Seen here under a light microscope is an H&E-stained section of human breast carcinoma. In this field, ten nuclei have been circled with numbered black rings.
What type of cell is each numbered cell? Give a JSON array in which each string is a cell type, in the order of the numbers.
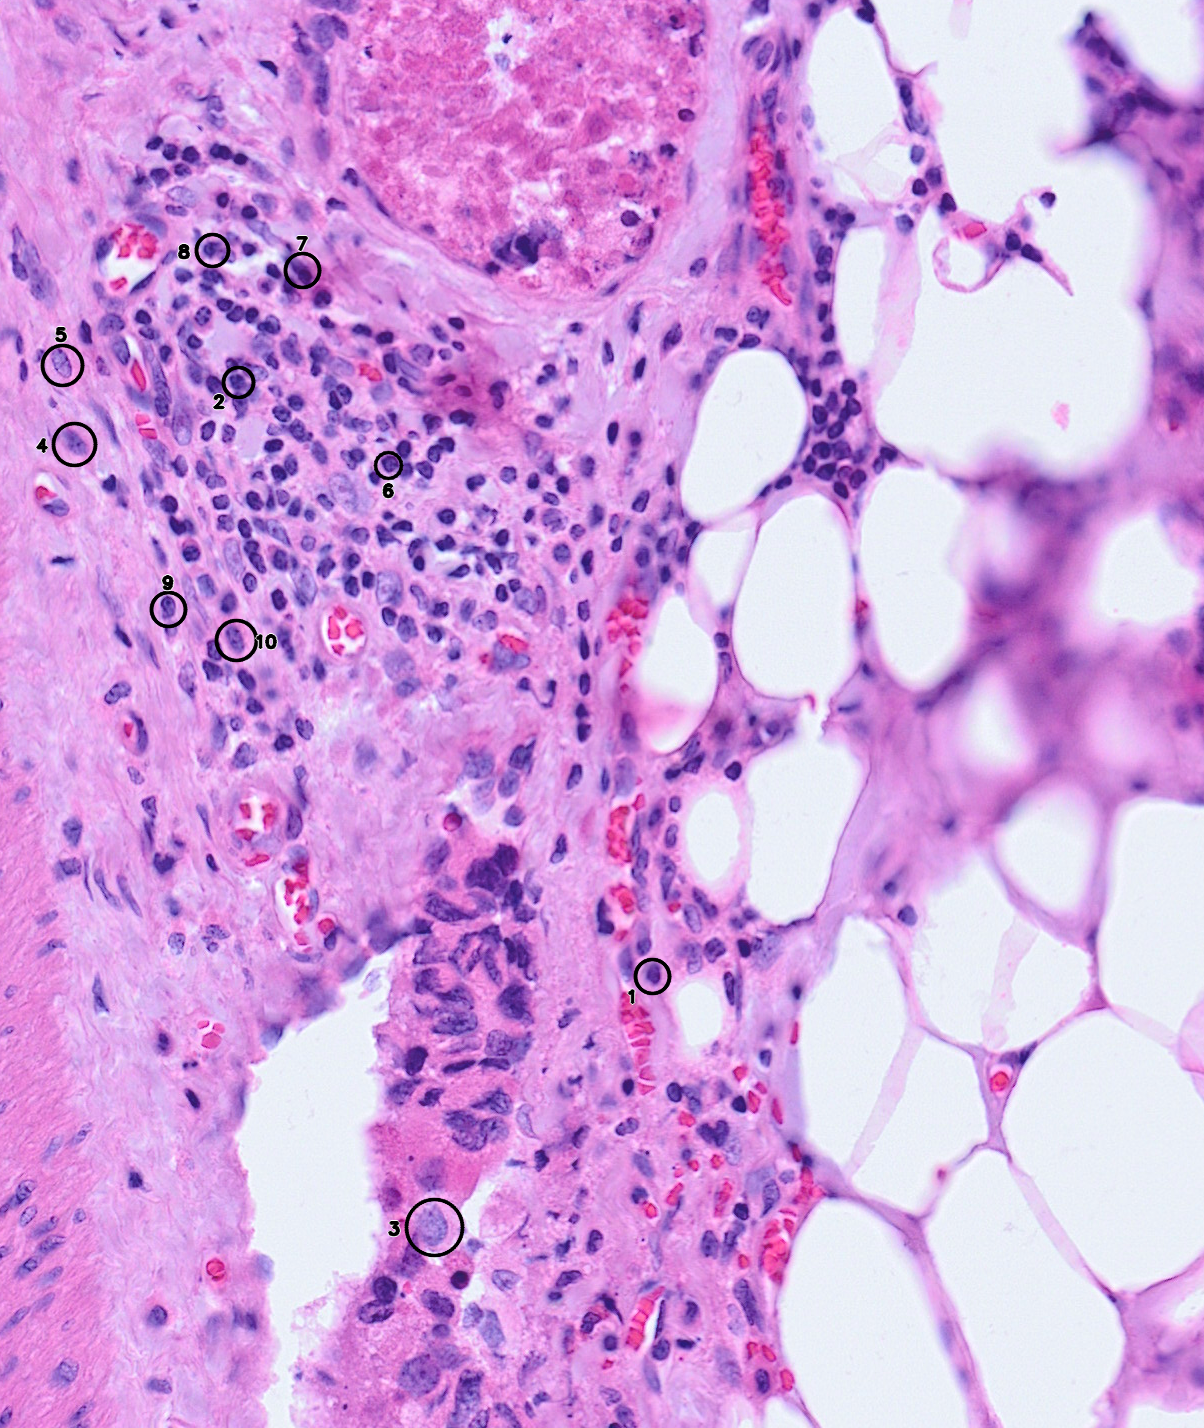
["lymphocyte", "lymphocyte", "carcinoma cell", "mast cell", "mast cell", "lymphocyte", "lymphocyte", "lymphocyte", "lymphocyte", "mast cell"]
